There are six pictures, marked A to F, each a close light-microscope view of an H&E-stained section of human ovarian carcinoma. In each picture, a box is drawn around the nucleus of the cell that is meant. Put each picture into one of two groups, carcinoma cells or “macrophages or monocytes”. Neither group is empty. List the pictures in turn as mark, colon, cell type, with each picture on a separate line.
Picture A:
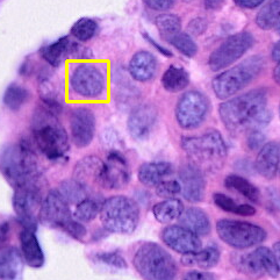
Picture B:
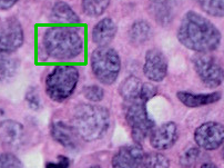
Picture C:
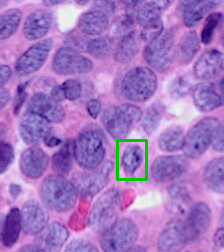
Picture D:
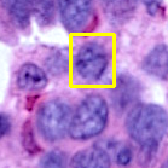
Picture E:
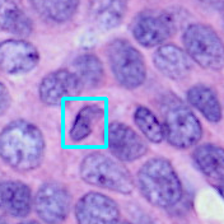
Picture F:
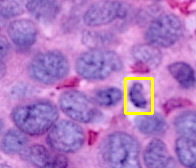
A: carcinoma cell
B: carcinoma cell
C: macrophage or monocyte
D: macrophage or monocyte
E: macrophage or monocyte
F: macrophage or monocyte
